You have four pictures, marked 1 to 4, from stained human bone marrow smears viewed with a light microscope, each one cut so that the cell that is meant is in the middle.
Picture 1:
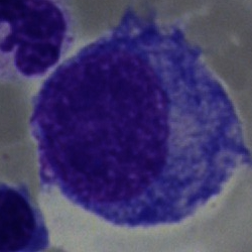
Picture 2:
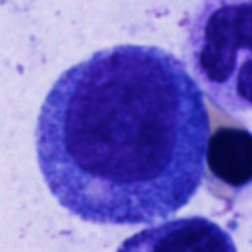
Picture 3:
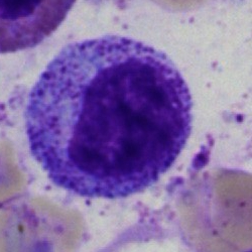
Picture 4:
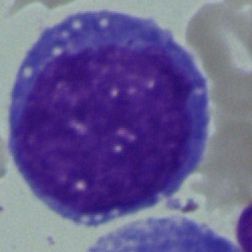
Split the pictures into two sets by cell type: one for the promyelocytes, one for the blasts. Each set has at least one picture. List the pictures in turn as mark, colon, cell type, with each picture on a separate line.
1: promyelocyte
2: promyelocyte
3: promyelocyte
4: blast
